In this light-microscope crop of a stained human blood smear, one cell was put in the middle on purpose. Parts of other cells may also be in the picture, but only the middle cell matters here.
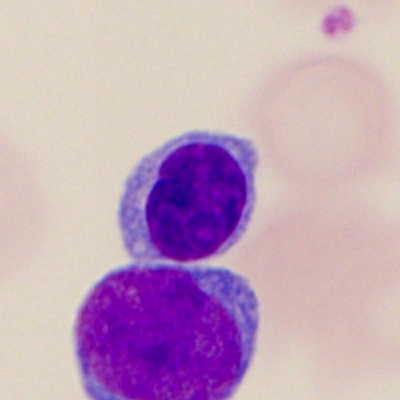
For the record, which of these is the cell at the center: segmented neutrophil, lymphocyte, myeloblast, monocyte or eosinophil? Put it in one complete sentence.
Of the cells in this crop, the central one is a lymphocyte.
